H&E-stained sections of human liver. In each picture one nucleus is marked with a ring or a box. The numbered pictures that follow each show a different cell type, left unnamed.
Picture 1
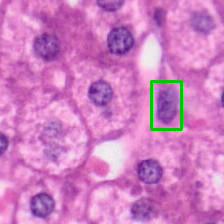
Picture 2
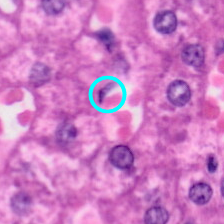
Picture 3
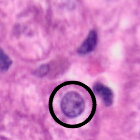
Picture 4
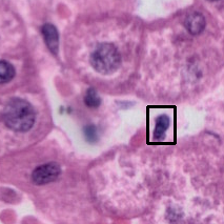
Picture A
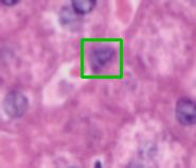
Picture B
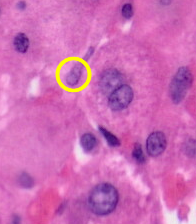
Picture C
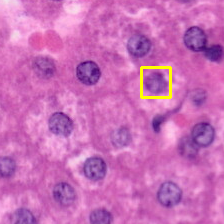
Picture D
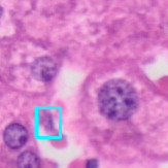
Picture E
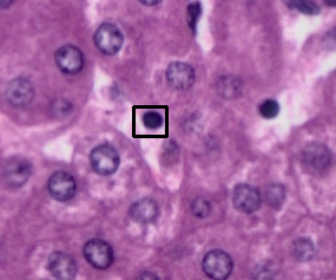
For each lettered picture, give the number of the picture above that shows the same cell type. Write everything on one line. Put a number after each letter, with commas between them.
A 2, B 1, C 3, D 1, E 4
